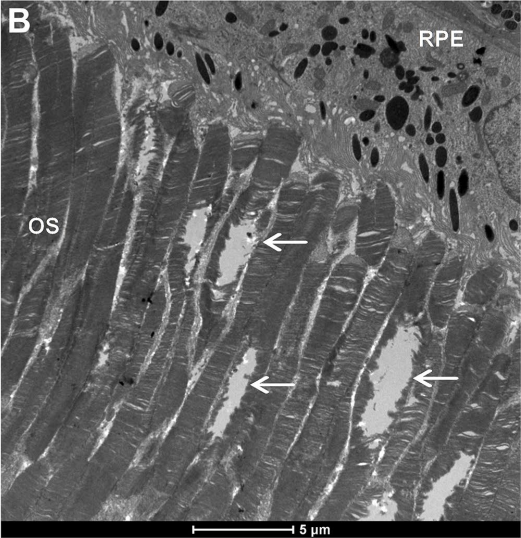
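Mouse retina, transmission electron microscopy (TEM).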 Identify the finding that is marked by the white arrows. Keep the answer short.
Photoreceptor degeneration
